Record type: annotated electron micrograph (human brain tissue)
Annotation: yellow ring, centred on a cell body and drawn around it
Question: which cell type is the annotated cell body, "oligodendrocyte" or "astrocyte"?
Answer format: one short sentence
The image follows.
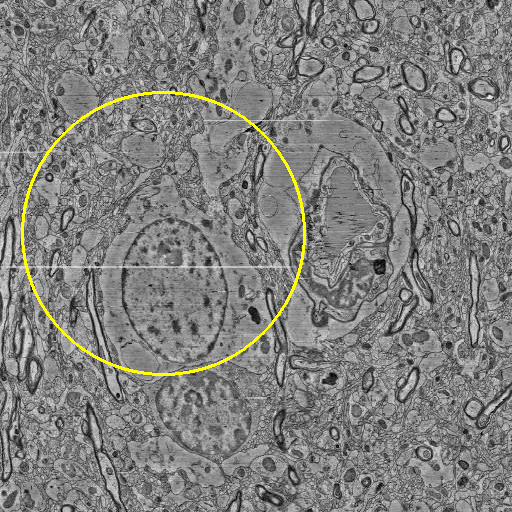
The annotated cell body is that of an astrocyte.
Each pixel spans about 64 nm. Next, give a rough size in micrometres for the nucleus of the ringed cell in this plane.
In this plane the nucleus spans approximately 10 by 7 micrometers.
